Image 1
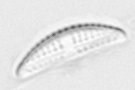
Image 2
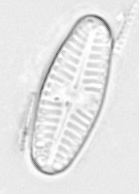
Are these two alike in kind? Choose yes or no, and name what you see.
No. First Amphora, second Planothidium.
